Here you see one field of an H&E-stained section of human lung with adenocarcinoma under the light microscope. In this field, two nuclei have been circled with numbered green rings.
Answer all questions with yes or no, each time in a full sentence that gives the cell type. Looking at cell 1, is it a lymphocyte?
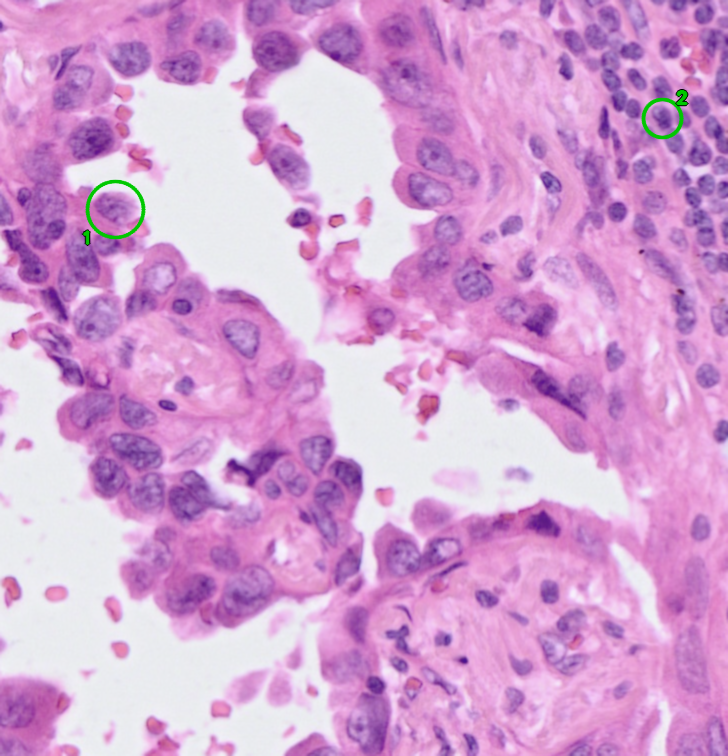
No, the cell numbered 1 is a carcinoma cell rather than a lymphocyte.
